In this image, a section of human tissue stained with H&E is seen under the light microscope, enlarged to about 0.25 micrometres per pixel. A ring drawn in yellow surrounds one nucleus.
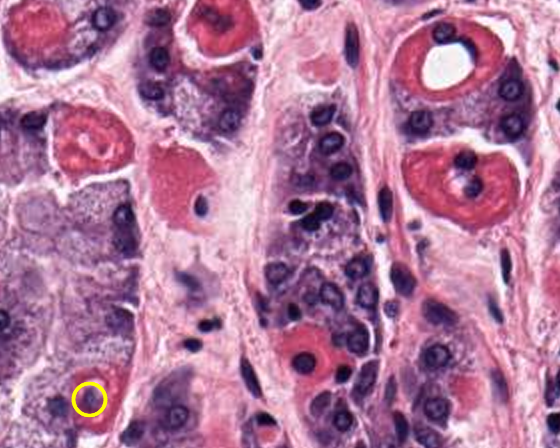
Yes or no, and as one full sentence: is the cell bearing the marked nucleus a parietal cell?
Yes, the nucleus picked out by the mark belongs to a parietal cell.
